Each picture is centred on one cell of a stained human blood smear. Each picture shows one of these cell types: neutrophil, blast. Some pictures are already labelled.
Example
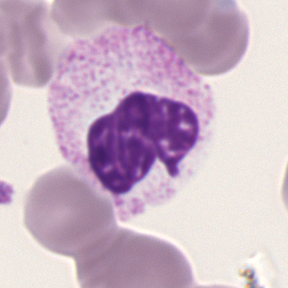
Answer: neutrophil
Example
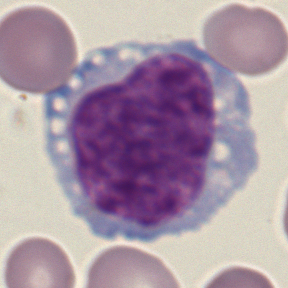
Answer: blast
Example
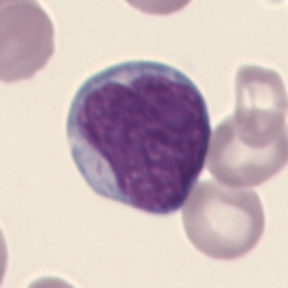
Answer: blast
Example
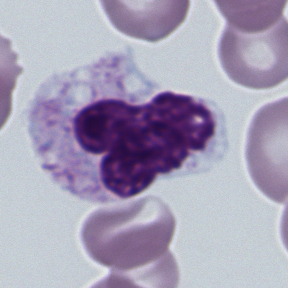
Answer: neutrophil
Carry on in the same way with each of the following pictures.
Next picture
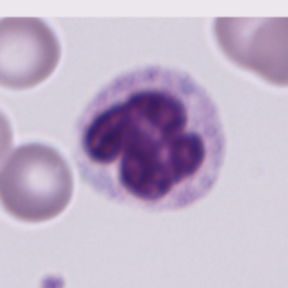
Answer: neutrophil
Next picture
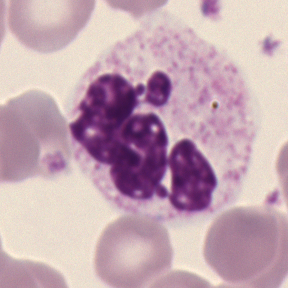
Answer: neutrophil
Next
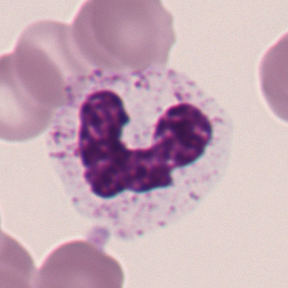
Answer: neutrophil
